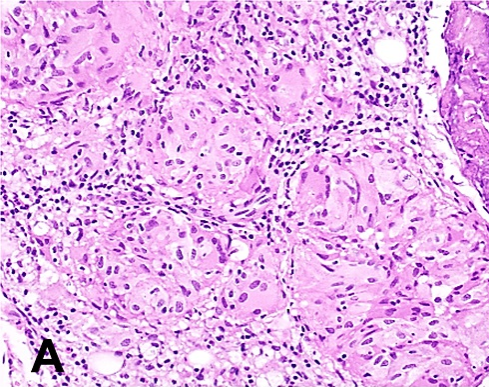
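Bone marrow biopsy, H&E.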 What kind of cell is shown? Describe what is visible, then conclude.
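Giant cells. Some large cells with abundant pink cytoplasm hold several nuclei. These large cells lie within the pale nodules.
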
